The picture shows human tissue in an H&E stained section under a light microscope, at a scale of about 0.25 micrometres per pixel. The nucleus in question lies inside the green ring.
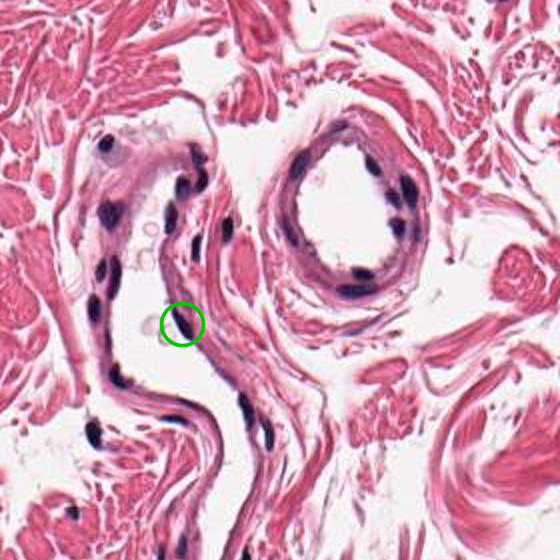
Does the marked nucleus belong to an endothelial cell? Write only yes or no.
yes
